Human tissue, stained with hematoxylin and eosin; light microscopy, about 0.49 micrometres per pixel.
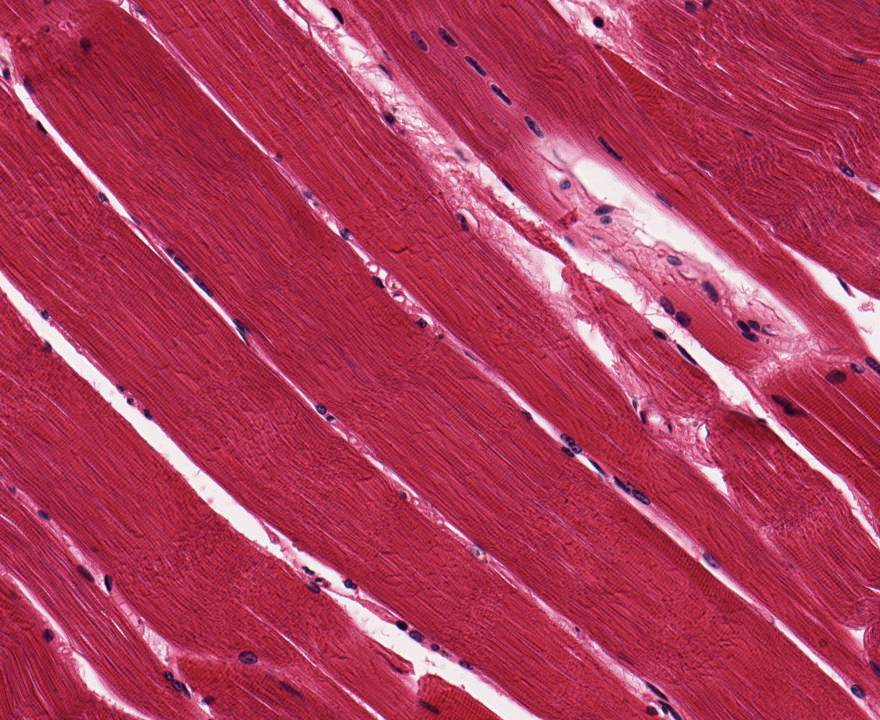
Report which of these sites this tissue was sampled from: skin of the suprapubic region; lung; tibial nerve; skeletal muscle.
skeletal muscle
